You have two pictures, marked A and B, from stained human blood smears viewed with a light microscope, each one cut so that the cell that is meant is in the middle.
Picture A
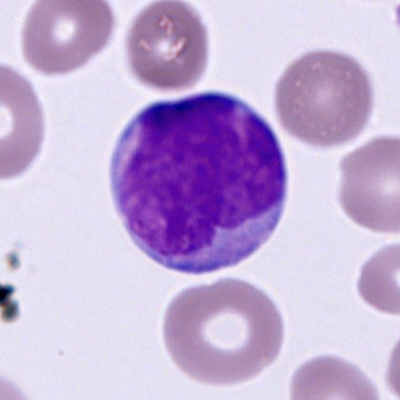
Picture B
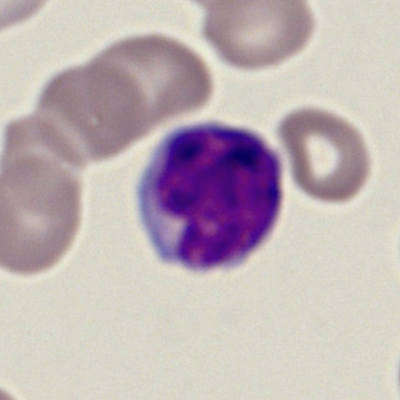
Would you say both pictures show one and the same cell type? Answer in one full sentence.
No, picture A shows a myeloblast and picture B shows a lymphocyte.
